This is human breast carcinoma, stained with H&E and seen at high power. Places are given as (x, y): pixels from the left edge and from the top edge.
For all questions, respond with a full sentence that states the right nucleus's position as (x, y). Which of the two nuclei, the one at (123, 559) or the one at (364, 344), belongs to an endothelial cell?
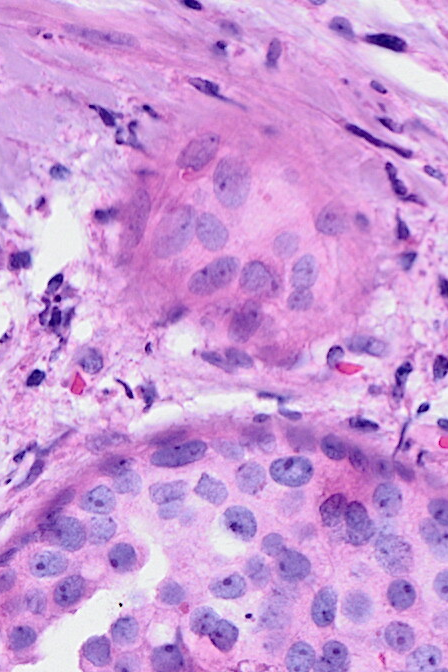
The nucleus contained in an endothelial cell is the one at (364, 344).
